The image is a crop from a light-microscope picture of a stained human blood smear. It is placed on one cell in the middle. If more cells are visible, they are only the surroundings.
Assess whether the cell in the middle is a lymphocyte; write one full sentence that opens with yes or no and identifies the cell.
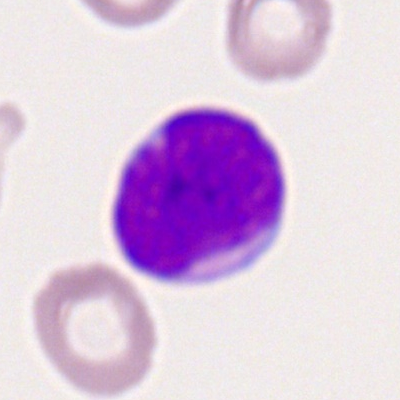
No, the central cell is reported as a myeloblast rather than as a lymphocyte.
